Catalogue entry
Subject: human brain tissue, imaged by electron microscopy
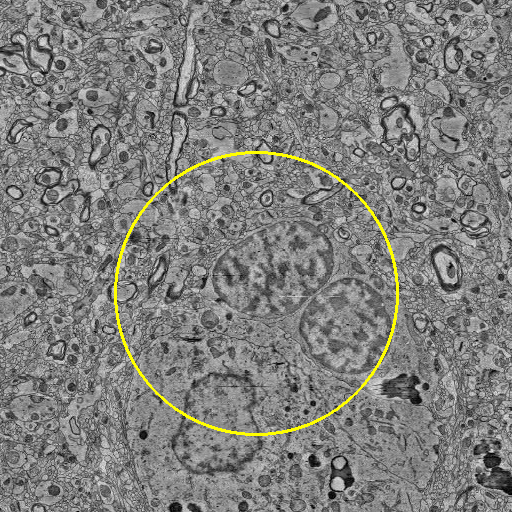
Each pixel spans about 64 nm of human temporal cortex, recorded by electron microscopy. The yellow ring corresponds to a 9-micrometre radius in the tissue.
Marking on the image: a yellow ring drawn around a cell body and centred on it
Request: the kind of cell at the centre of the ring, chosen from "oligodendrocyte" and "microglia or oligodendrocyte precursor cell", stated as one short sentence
The ring has an oligodendrocyte at its centre.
